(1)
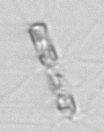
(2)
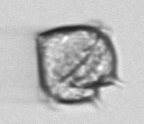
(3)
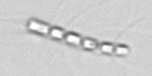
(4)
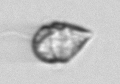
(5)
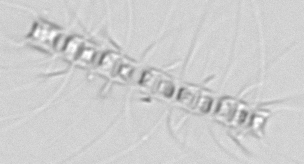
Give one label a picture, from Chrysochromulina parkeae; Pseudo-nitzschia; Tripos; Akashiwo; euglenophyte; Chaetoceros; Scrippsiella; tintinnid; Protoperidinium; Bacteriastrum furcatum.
(1) Bacteriastrum furcatum
(2) Protoperidinium
(3) Chaetoceros
(4) Scrippsiella
(5) Chaetoceros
